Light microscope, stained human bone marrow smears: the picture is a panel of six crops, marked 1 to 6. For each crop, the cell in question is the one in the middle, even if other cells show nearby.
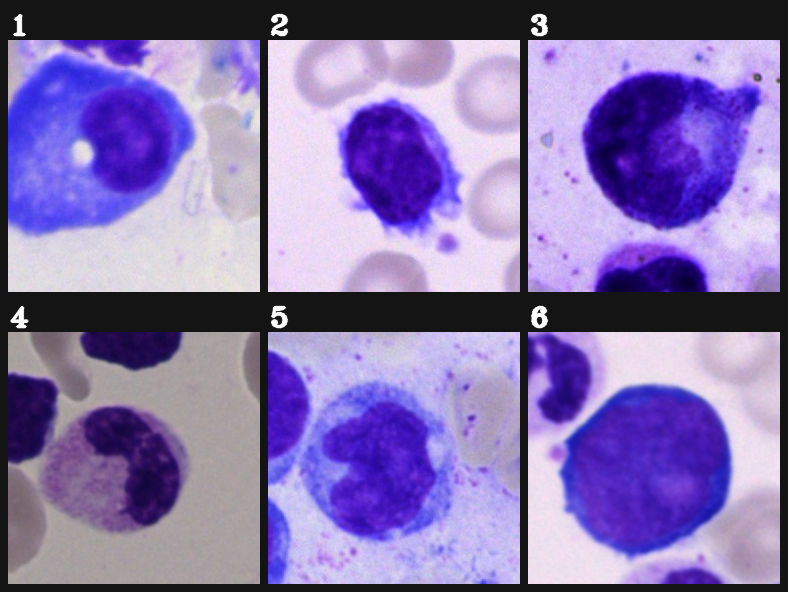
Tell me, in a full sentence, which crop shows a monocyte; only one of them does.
The one showing a monocyte is the crop labelled 5.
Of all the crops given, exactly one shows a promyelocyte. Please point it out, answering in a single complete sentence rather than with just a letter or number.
Crop 3 is the crop that shows a promyelocyte in its middle.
